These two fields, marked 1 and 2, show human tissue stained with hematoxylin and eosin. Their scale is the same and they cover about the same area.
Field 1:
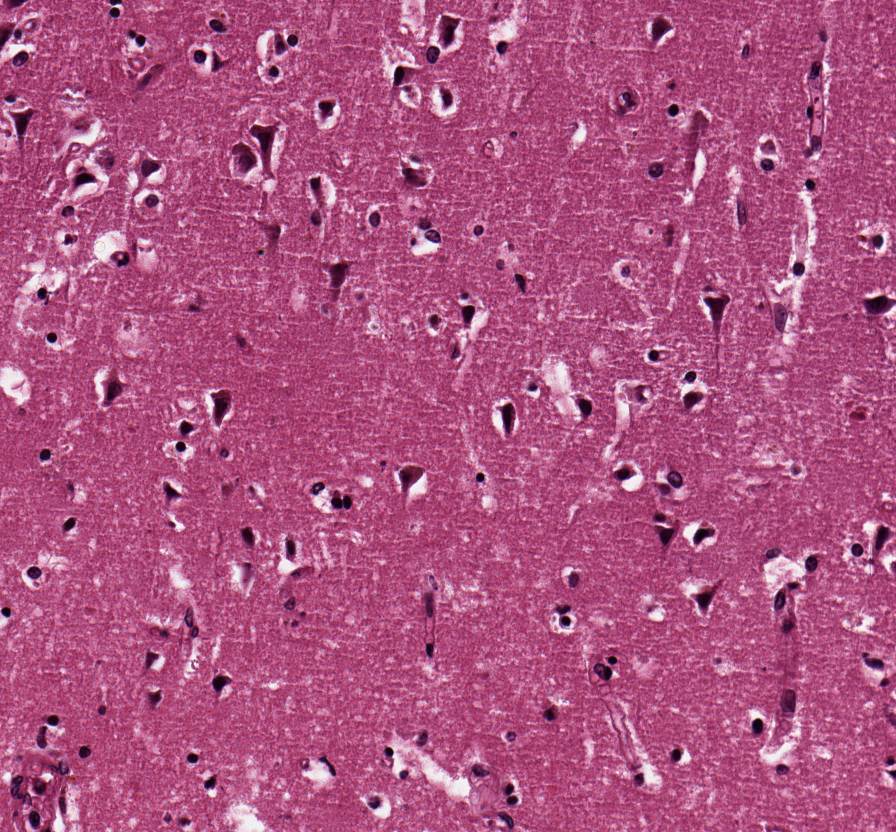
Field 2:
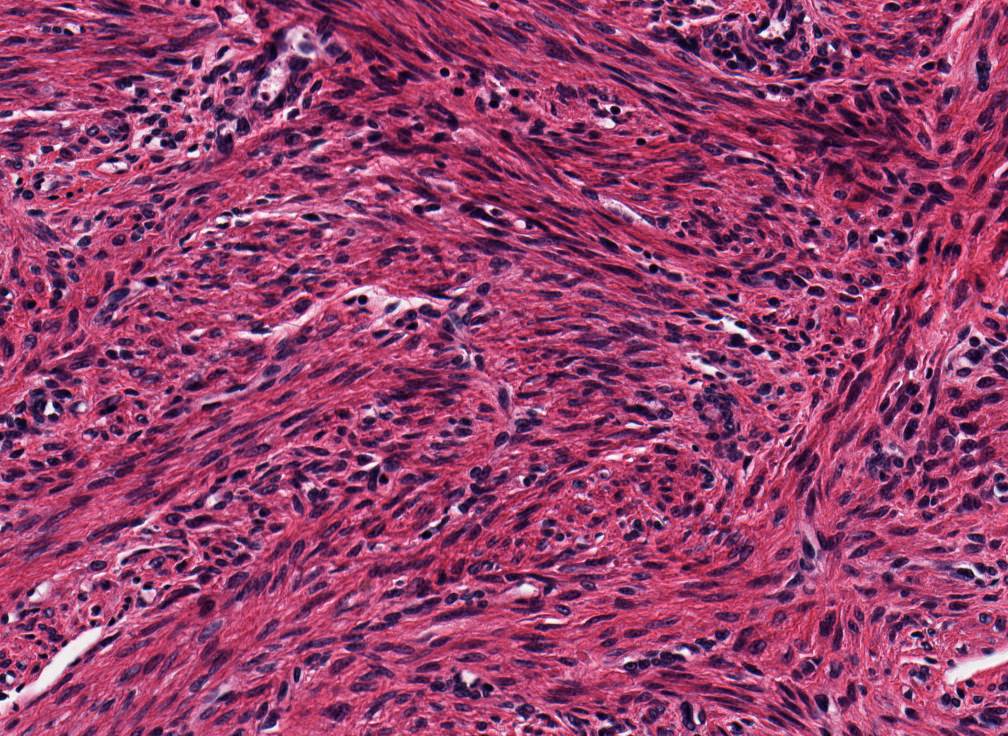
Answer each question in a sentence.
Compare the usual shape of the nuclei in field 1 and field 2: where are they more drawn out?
On the whole the nuclei of field 2 are more drawn out than those of field 1.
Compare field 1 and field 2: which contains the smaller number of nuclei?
There are fewer nuclei in field 1.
